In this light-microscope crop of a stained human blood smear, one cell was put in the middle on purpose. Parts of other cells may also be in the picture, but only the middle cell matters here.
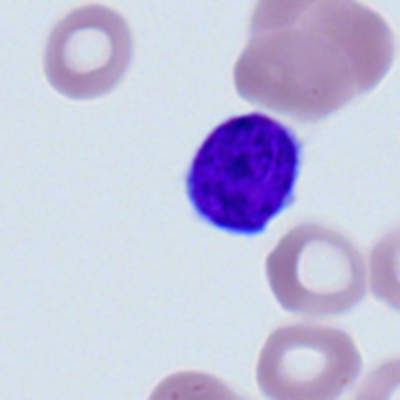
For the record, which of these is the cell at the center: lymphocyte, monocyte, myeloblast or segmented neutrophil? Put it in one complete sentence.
The cell in the exact centre of the crop is a lymphocyte.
